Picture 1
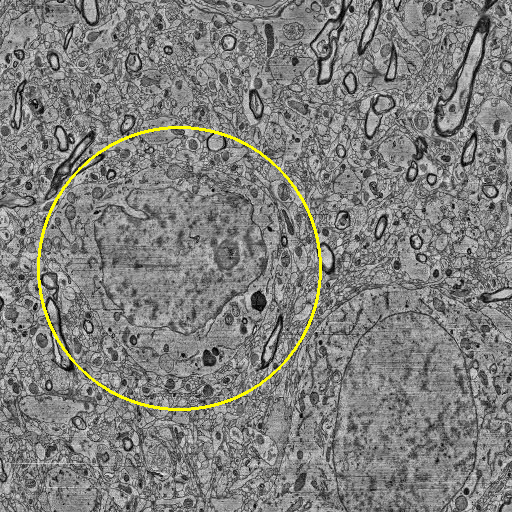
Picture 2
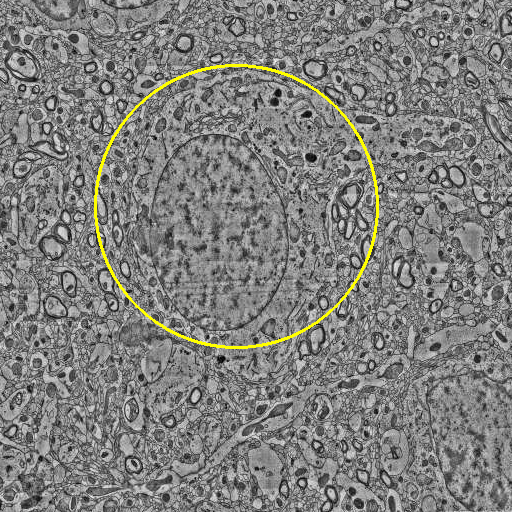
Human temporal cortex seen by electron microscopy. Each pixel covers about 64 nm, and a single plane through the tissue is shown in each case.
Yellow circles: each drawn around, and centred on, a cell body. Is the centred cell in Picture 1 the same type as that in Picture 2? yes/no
yes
